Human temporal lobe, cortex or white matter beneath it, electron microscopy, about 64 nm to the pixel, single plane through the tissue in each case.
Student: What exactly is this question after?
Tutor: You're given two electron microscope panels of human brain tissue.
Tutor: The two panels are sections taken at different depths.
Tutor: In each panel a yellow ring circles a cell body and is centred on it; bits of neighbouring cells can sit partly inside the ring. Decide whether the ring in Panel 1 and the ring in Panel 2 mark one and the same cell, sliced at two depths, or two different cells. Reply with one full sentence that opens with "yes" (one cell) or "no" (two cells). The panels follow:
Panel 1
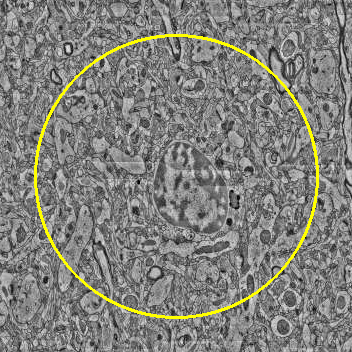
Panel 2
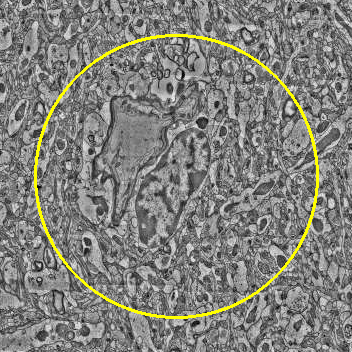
No, one ring and the other ring mark two distinct cells.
